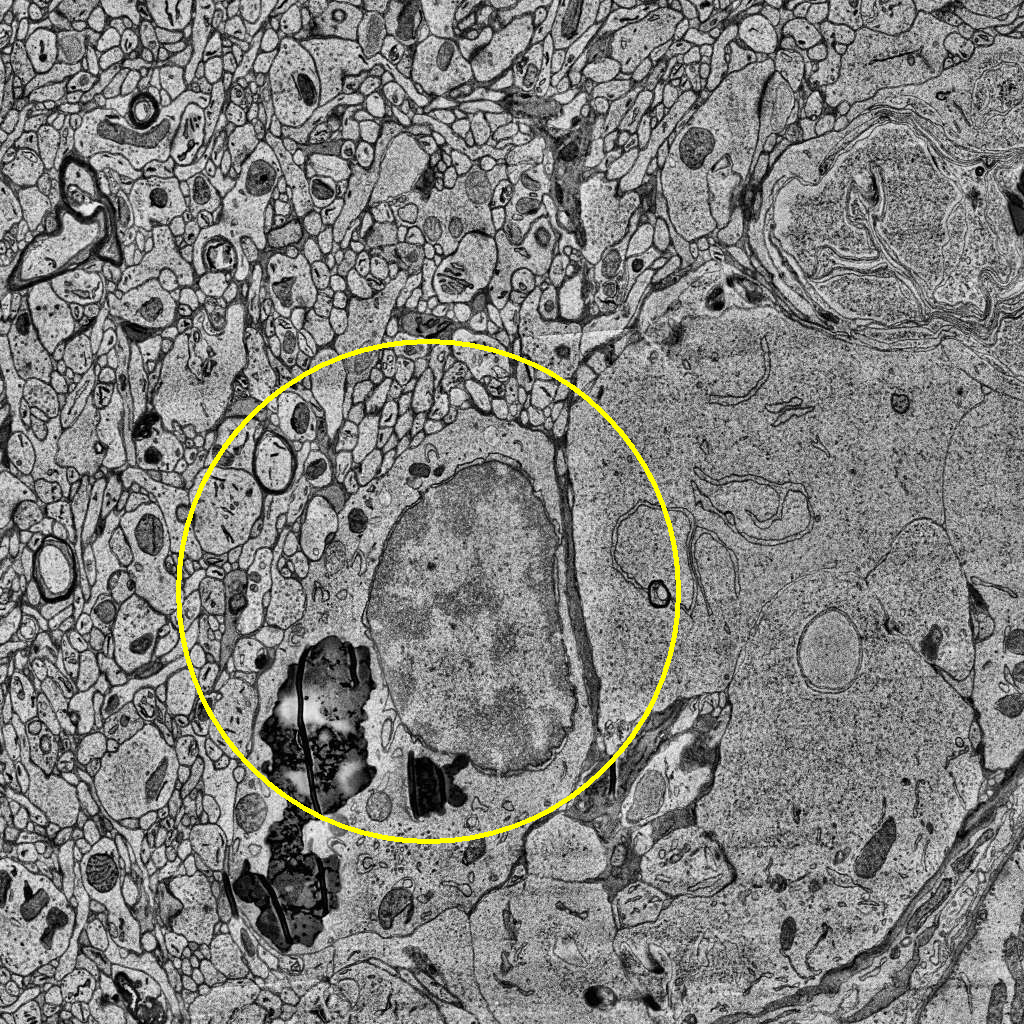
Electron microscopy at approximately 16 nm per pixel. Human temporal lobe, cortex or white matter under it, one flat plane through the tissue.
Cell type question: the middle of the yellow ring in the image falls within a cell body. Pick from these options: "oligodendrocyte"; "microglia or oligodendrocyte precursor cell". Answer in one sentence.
The cell body at the center of the ring belongs to an oligodendrocyte.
